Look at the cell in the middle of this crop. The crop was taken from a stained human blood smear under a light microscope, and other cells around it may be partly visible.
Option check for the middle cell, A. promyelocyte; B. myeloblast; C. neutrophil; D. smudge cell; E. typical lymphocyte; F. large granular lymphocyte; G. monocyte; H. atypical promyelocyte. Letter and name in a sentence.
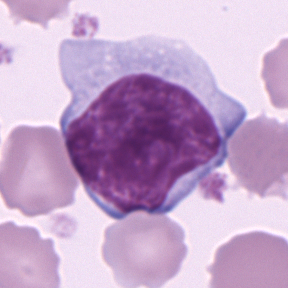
The centrally positioned cell is a monocyte, consistent with option G, which is correct.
